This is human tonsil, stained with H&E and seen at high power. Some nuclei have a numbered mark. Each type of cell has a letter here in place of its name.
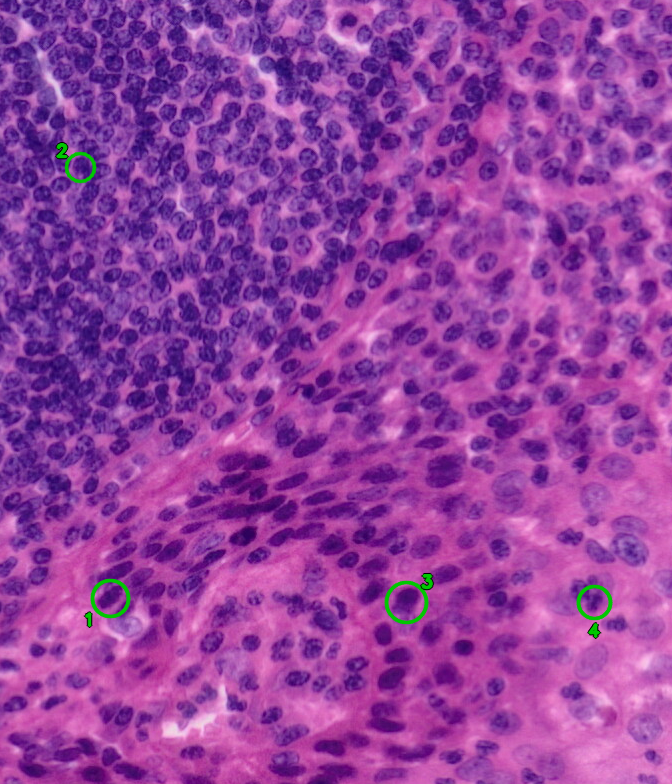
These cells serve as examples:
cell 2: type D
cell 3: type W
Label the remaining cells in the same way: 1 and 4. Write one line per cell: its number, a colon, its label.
1: type W
4: type W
